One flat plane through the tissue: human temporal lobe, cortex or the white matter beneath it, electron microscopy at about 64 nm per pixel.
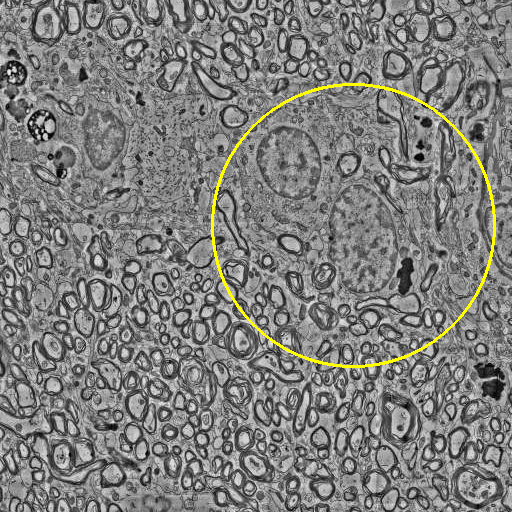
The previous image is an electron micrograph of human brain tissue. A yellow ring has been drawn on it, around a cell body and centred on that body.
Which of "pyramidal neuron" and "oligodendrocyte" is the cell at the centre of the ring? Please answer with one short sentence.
The cell body at the centre of the ring belongs to an oligodendrocyte.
